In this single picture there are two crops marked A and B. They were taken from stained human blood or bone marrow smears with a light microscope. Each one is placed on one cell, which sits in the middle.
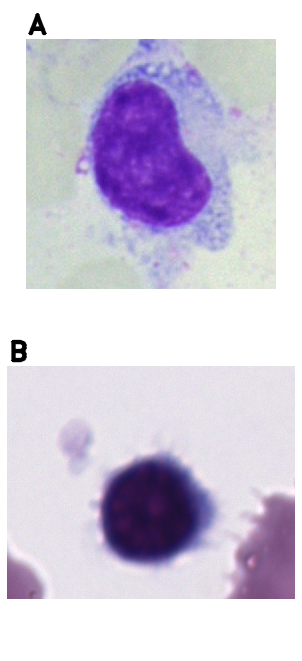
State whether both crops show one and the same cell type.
yes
